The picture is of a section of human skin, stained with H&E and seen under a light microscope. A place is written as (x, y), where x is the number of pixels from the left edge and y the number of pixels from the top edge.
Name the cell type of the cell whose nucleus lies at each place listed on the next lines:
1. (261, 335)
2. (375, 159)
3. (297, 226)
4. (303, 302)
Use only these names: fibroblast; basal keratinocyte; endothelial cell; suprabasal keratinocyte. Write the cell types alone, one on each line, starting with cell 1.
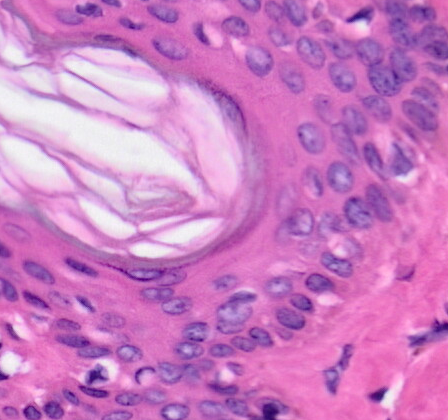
basal keratinocyte
basal keratinocyte
suprabasal keratinocyte
basal keratinocyte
